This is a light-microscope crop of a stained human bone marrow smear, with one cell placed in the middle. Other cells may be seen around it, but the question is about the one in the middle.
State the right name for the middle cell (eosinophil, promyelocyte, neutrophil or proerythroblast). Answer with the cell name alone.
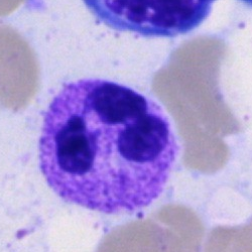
neutrophil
